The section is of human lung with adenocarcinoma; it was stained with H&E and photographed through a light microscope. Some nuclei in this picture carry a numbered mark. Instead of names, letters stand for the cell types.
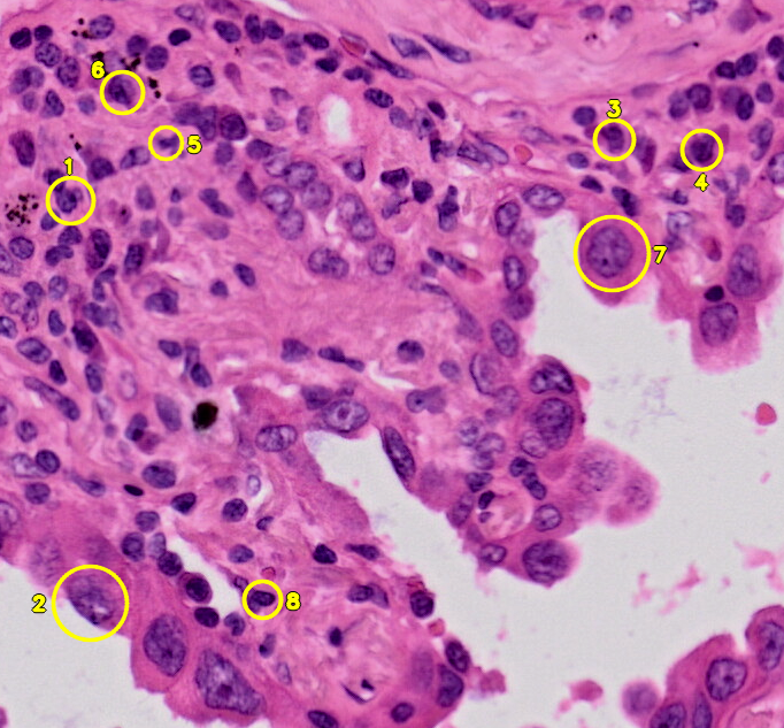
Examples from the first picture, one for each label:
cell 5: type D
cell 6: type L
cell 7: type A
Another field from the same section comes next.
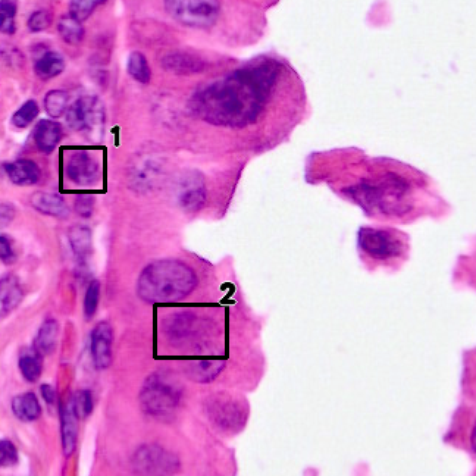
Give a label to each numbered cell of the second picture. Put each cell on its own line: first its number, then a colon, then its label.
1: type L
2: type A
